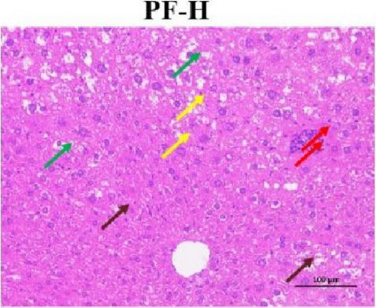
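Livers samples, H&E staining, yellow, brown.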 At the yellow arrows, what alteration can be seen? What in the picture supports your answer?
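The pointed hepatocytes show small pale vesicles in their cytoplasm. So: cytoplasmic microvesicle formation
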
